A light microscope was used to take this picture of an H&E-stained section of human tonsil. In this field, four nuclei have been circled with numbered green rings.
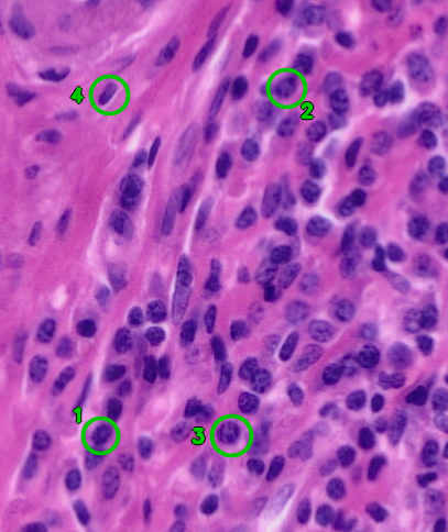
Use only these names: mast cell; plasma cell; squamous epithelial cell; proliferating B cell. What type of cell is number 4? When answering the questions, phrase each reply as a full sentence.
The numeral 4 marks a mast cell in this section.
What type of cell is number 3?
The one numbered 3 among the marked cells is a plasma cell.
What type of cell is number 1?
The cell referred to as 1 is a plasma cell.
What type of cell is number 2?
Numbered cell 2 is a plasma cell in this tissue section.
